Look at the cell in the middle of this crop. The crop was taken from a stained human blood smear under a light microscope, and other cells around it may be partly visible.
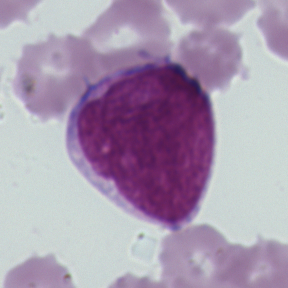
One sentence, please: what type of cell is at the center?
By type, the central cell of the crop is a myeloblast.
